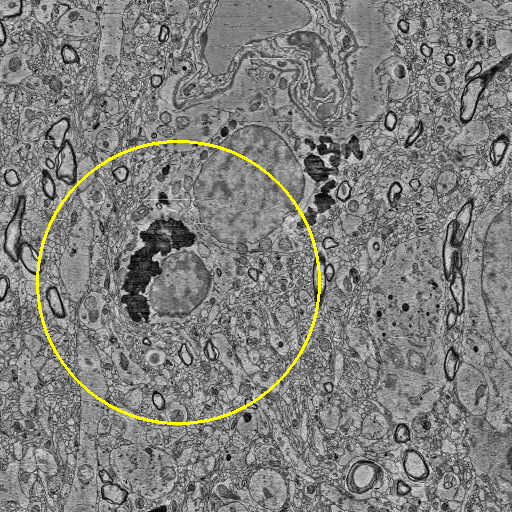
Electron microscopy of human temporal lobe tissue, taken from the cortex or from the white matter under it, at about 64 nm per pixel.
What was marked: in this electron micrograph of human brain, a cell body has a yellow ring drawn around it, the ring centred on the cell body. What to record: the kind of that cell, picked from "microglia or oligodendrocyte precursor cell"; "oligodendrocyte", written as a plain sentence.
The centred cell is an oligodendrocyte.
